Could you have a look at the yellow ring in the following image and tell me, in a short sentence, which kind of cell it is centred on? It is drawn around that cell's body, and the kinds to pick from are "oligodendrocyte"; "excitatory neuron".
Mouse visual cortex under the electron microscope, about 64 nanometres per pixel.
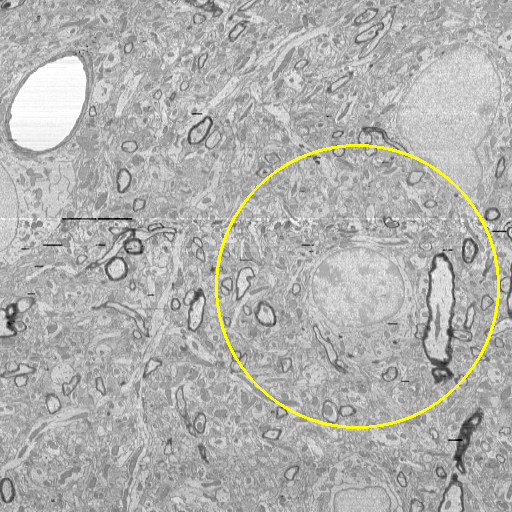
The ring is centred on the body of an oligodendrocyte.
